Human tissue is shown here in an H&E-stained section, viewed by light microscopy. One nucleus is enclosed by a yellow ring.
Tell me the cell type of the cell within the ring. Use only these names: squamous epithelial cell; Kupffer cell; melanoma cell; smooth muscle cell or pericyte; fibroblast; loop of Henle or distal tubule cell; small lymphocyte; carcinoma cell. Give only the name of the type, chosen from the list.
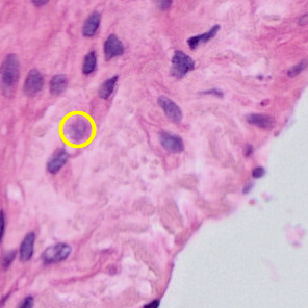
smooth muscle cell or pericyte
